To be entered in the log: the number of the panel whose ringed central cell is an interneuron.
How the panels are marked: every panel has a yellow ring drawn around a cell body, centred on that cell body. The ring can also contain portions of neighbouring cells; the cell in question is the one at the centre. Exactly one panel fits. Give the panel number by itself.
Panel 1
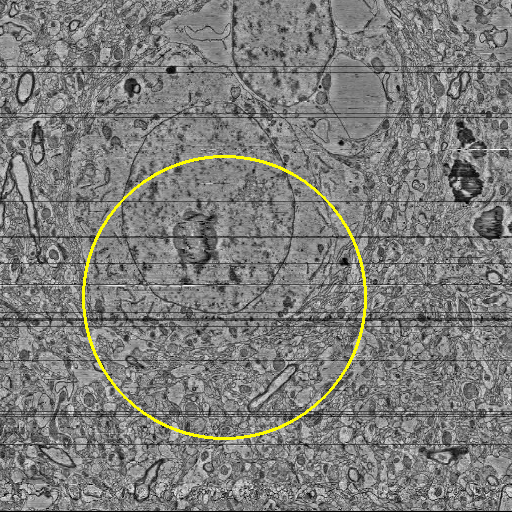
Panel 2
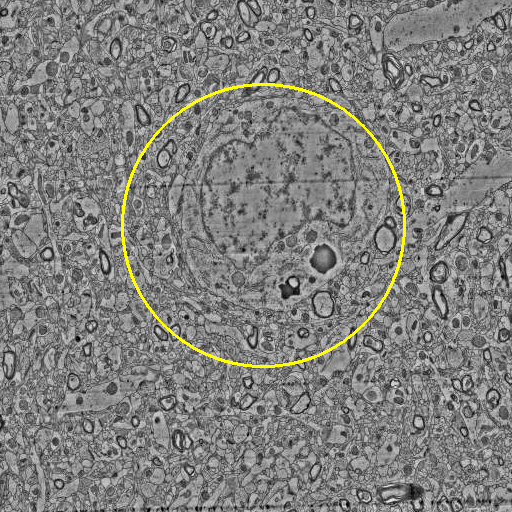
2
